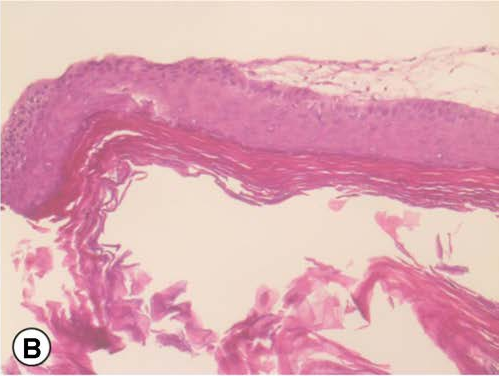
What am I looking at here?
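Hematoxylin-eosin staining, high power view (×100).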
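A wall of stratified squamous epithelium runs across the upper part of the field, several cell layers thick, with purple nuclei most crowded at one end. Toward the inner surface the cells flatten, and against them lies a thick band of wavy, laminated pink material without nuclei. Below, in the space, loose pink flakes of the same anuclear material lie scattered. This laminated pink material is keratin shed from the lining. The nuclei seen show no obvious atypia. Together the picture is of a cyst wall lined by keratinizing squamous epithelium.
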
